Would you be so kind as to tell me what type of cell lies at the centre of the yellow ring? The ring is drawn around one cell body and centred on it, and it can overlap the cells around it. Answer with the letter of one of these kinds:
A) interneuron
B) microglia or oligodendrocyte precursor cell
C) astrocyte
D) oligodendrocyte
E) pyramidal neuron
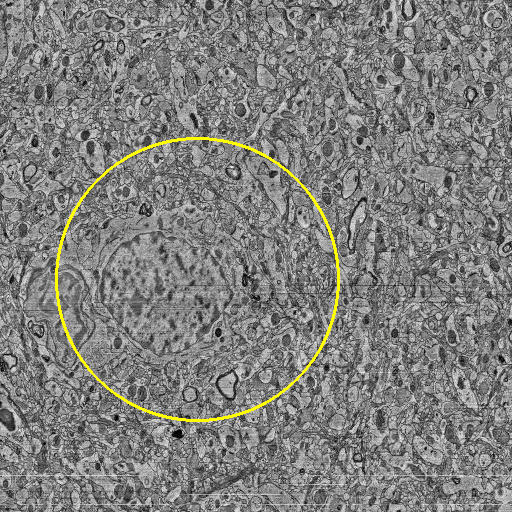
B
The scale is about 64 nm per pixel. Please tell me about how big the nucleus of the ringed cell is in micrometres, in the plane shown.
In this plane the nucleus measures roughly 8 micrometres across.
